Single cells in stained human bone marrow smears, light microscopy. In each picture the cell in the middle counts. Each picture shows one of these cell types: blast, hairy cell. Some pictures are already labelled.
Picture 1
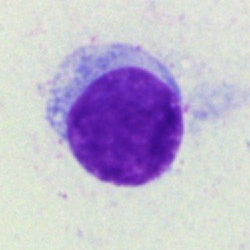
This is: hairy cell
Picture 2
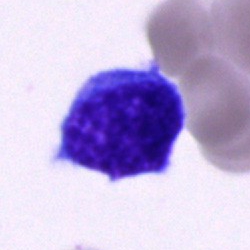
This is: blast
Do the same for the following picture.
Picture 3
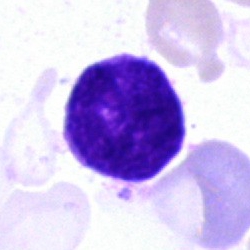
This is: blast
